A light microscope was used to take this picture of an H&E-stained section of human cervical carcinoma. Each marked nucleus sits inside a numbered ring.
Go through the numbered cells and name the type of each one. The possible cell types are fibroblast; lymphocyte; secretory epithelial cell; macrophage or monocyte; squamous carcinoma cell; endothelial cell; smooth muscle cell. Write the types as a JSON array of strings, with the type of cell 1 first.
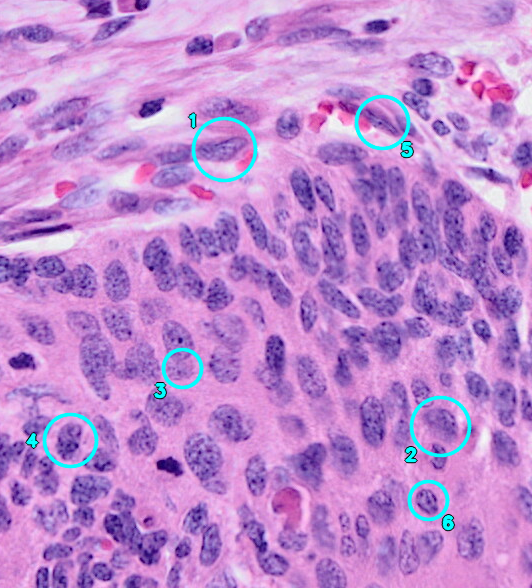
["endothelial cell", "squamous carcinoma cell", "squamous carcinoma cell", "squamous carcinoma cell", "endothelial cell", "squamous carcinoma cell"]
